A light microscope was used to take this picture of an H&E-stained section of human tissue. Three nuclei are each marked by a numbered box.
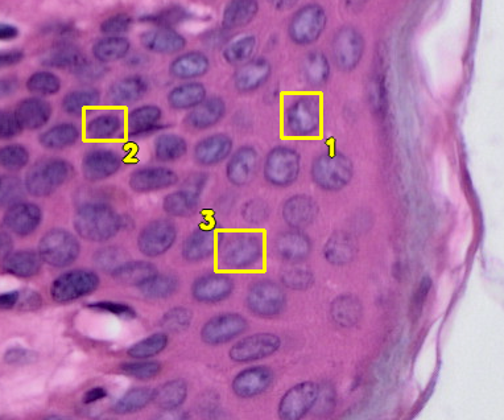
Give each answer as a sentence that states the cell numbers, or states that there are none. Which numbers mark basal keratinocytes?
Of the cells carrying numbers, just cell 2 is a basal keratinocyte.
